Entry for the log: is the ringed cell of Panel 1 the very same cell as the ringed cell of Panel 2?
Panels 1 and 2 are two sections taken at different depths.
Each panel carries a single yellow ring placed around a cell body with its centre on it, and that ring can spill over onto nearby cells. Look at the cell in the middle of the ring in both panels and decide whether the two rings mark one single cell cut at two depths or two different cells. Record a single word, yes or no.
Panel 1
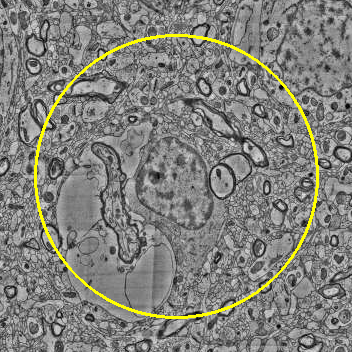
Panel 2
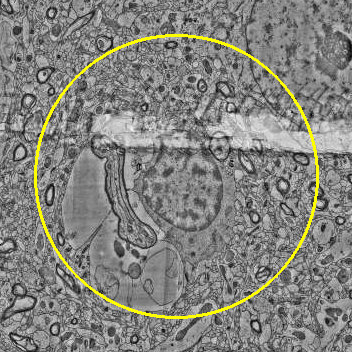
yes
